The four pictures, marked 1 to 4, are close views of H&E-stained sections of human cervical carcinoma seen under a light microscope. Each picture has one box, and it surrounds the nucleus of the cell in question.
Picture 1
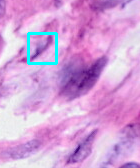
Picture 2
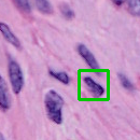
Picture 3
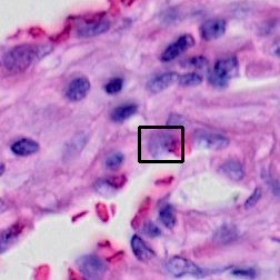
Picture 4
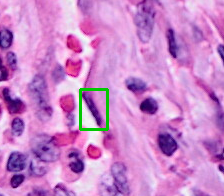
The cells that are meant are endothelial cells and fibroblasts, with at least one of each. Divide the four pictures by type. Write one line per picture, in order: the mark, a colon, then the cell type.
1: fibroblast
2: fibroblast
3: endothelial cell
4: endothelial cell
